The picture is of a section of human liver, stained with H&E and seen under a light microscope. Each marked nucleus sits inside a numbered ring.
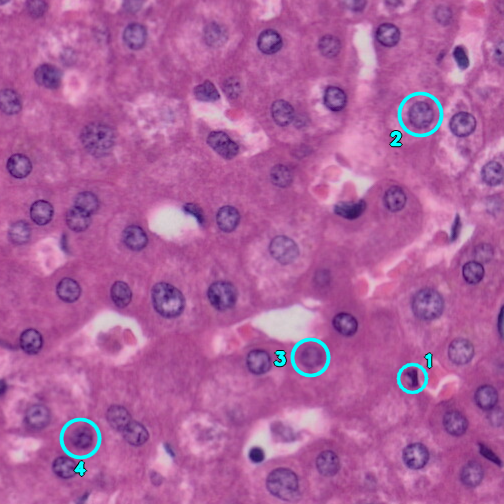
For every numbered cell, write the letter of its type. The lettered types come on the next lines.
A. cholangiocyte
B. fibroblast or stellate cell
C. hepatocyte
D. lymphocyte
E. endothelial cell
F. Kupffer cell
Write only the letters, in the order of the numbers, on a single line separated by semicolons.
B; C; C; C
